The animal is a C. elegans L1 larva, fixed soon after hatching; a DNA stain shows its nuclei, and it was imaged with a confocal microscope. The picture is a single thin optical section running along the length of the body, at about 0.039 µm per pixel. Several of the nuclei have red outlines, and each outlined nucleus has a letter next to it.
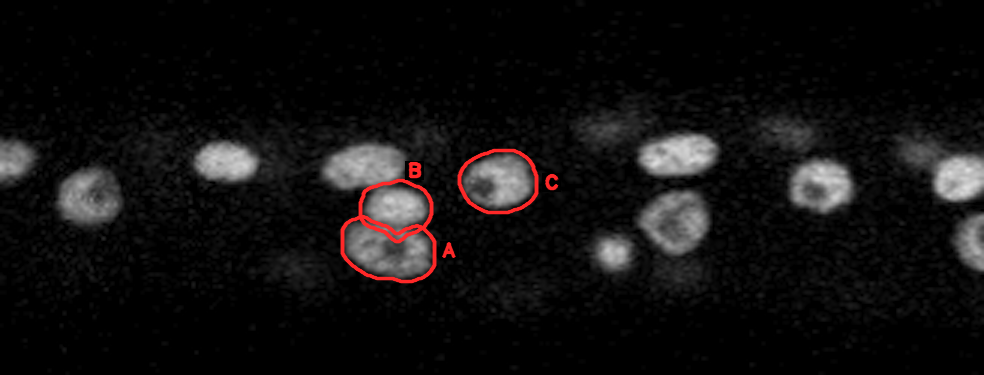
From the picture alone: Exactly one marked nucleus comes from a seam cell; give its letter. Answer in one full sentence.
It is C that belongs to a seam cell.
